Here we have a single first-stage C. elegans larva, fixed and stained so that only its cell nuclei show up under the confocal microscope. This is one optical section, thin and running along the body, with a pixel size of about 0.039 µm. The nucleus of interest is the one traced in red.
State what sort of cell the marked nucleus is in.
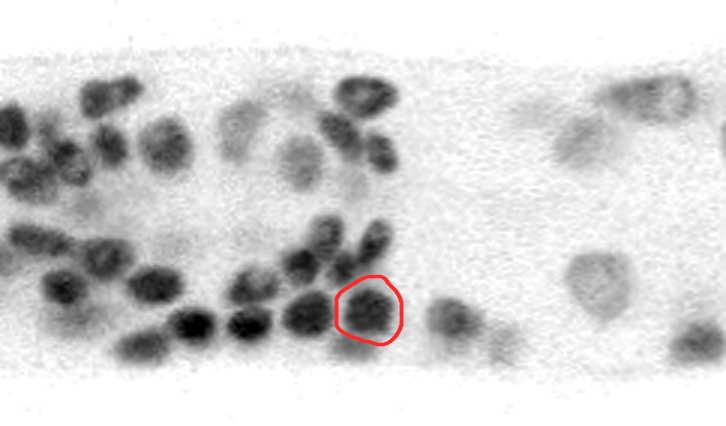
neuron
